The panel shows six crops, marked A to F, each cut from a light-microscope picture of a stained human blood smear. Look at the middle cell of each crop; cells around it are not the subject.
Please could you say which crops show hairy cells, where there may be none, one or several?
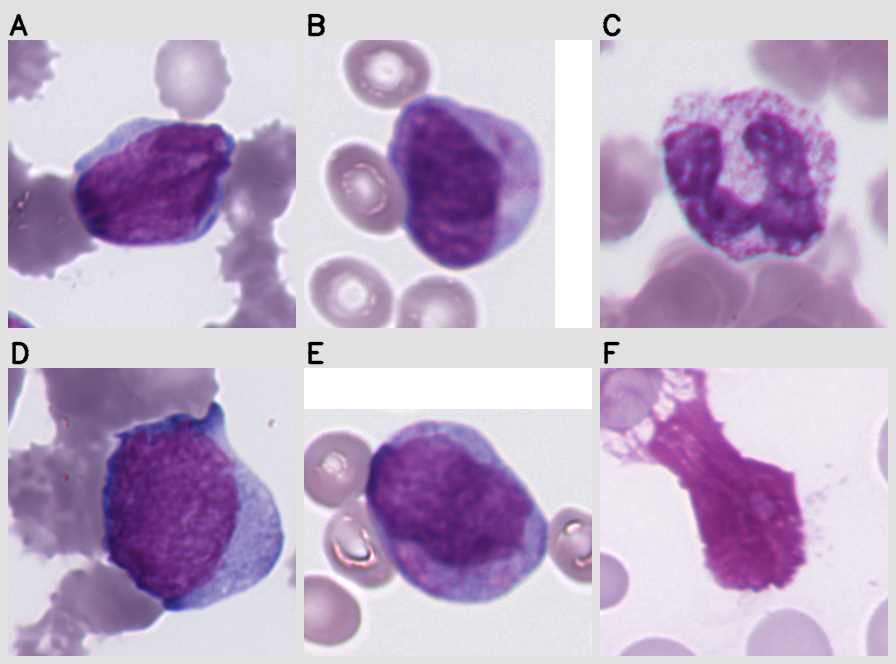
none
